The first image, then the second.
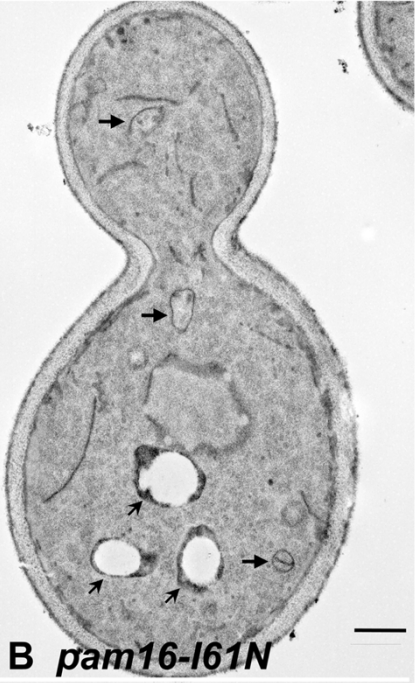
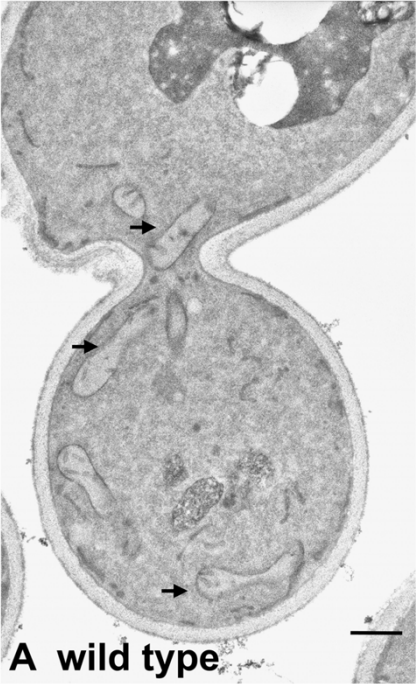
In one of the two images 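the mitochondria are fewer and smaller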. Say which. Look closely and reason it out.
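The first image. First image: only a few small round membrane profiles mark mitochondria. Second image: several larger, elongated mitochondrial profiles lie in the cytoplasm.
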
